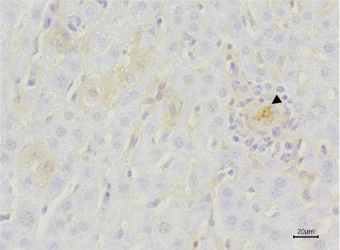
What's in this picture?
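This is liver parenchyma with cords of polygonal hepatocytes with round nuclei and pale cytoplasm, separated by narrow sinusoids. At the right lies a small microgranuloma, a compact cluster of cells with small dark nuclei surrounding brown granular material.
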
